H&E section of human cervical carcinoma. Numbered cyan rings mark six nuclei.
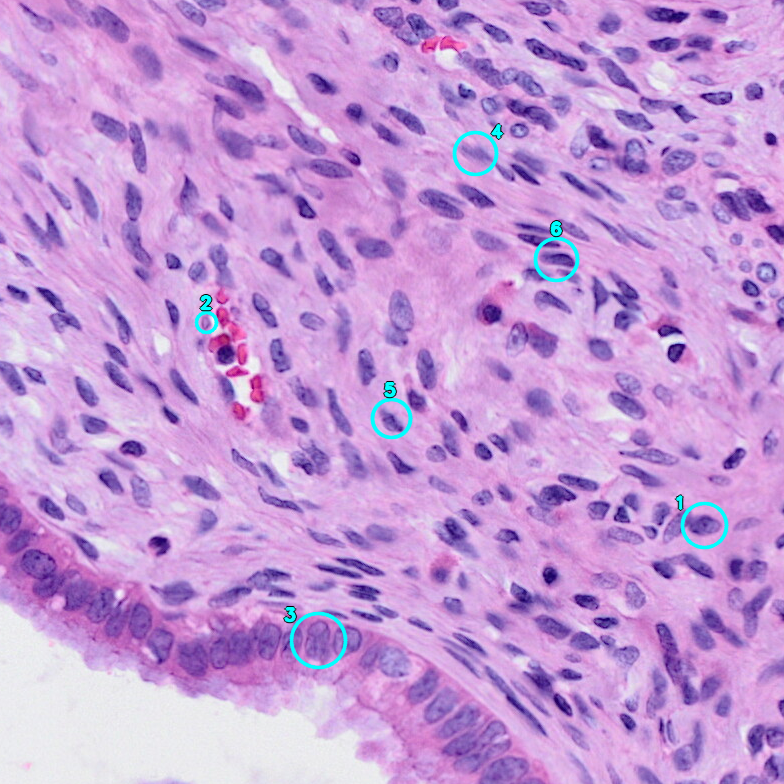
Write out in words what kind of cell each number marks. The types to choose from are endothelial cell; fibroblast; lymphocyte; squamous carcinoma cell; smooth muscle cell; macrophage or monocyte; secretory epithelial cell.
Cell 1 is a fibroblast, cell 2 is an endothelial cell, cell 3 is a secretory epithelial cell, cell 4 is a fibroblast, cell 5 is a fibroblast and cell 6 is a fibroblast.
